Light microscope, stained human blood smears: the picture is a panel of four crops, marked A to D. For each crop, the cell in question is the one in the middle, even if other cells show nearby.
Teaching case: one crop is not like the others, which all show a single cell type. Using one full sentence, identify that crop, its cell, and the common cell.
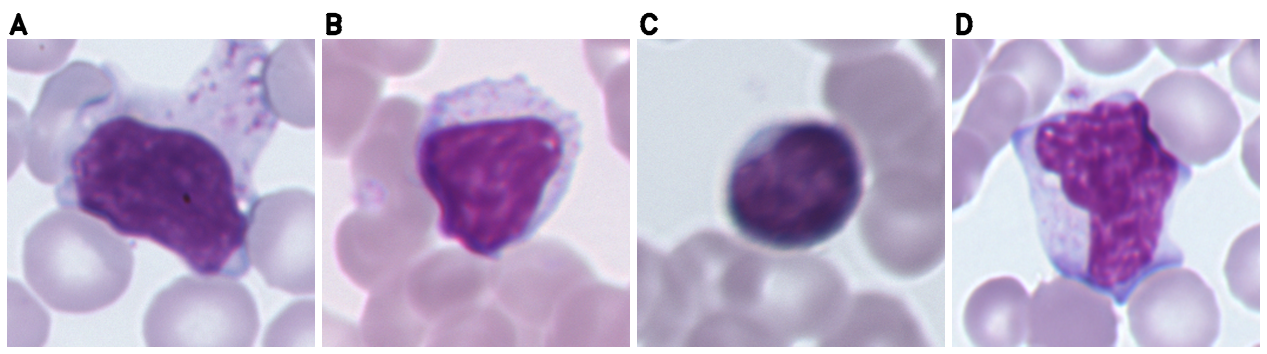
Excluding crop C, which is a typical lymphocyte, the crops all show large granular lymphocytes.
